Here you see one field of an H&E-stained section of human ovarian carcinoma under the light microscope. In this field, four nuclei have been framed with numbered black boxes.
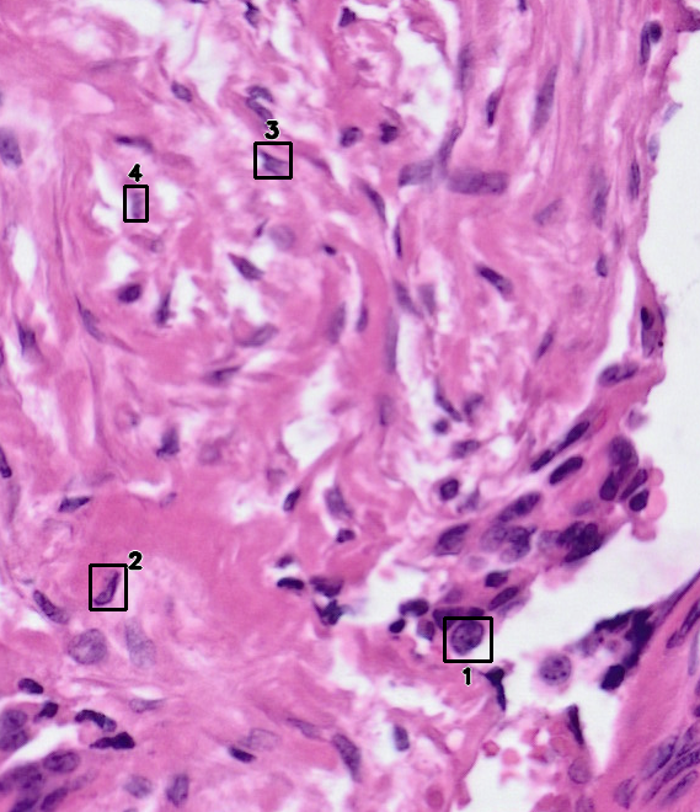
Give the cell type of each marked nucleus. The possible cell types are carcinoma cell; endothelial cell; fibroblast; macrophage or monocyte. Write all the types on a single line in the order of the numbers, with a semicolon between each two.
carcinoma cell; fibroblast; fibroblast; fibroblast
